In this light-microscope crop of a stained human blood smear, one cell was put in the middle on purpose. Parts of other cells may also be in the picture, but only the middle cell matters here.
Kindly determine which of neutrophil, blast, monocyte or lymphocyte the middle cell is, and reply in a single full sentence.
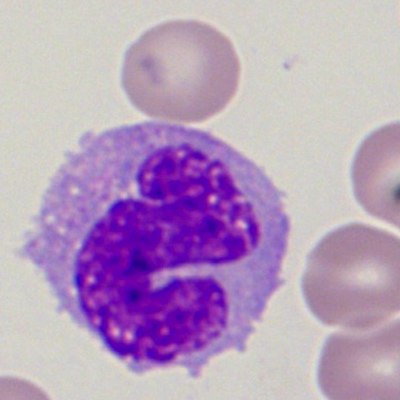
At the center of the crop sits a monocyte.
